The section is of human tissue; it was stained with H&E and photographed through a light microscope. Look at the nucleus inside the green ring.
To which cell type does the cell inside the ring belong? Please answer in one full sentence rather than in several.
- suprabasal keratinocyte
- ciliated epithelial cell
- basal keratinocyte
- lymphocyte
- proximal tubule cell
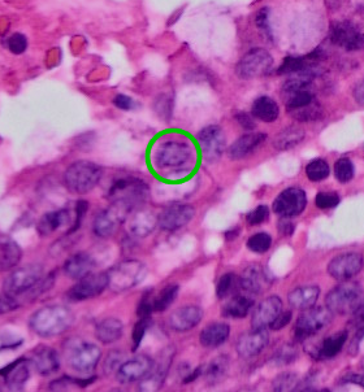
The cell type represented by the cell inside the ring is that of a ciliated epithelial cell.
